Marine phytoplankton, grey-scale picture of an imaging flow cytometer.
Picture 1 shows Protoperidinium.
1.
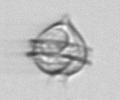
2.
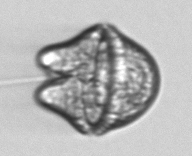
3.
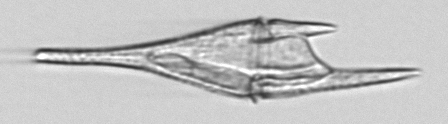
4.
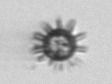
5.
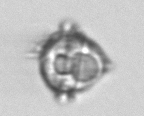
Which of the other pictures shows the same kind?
Picture 5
